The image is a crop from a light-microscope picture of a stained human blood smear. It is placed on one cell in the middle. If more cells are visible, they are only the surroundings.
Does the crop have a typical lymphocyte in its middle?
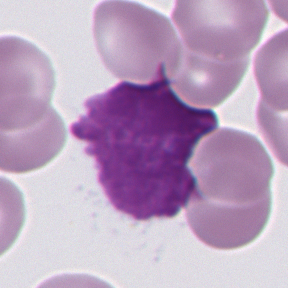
no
